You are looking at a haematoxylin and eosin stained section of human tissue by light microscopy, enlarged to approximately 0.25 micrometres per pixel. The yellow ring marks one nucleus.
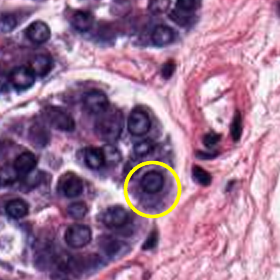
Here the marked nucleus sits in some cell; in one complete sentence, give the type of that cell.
Marked in this picture is the nucleus of a pancreatic acinar cell.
